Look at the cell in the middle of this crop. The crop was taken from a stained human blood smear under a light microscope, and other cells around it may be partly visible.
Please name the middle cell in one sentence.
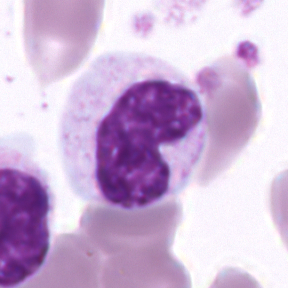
The cell nearest the centre of this crop is a metamyelocyte.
